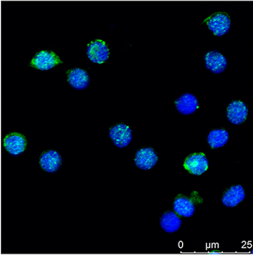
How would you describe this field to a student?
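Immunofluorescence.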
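Green fluorescence appears as fine dots and granules lying over the nuclei, giving many of them a speckled blue-green look. A few cells show a denser, bright green cap or crescent along one side of the nucleus. Some nuclei carry only a few green specks and stay largely blue.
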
